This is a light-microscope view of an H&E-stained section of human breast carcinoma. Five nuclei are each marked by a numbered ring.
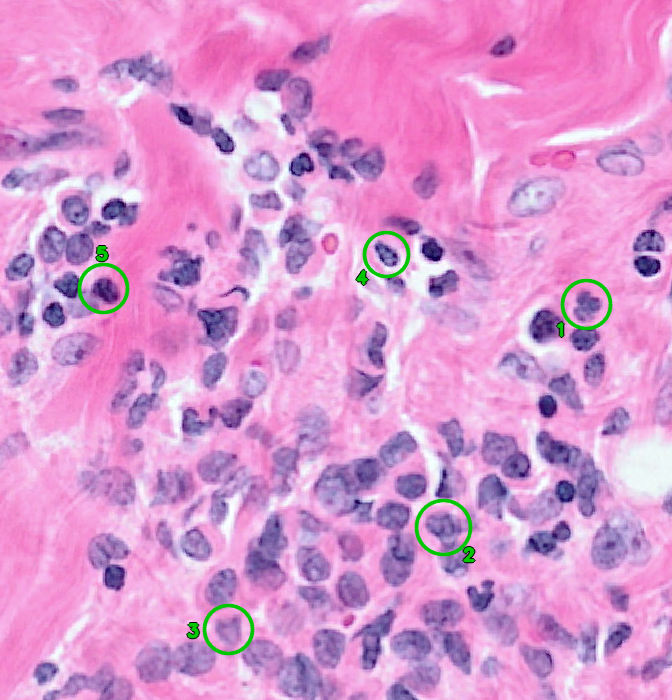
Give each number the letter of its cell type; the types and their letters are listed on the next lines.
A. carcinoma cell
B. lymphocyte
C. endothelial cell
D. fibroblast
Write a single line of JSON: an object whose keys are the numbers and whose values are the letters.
{"1": "B", "2": "A", "3": "A", "4": "B", "5": "B"}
